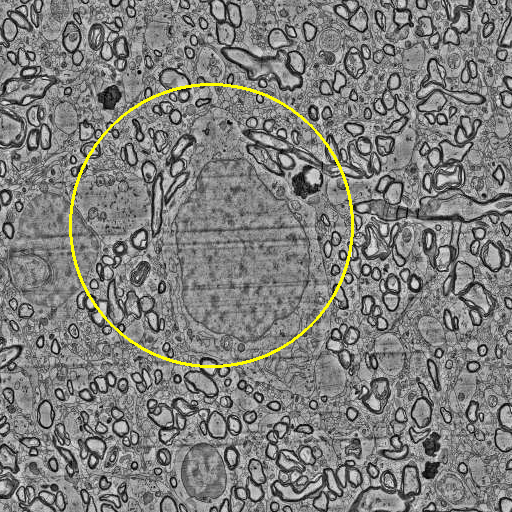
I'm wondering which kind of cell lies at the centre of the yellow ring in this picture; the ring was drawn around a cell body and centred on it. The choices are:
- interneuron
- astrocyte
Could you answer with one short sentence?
At the centre of the ring lies an interneuron.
